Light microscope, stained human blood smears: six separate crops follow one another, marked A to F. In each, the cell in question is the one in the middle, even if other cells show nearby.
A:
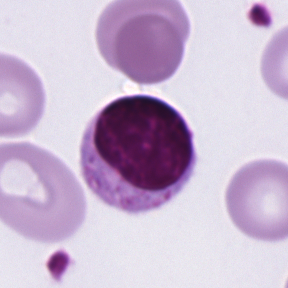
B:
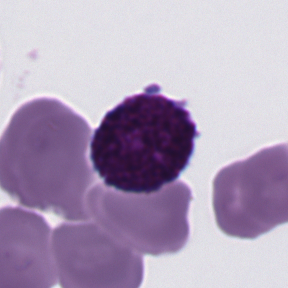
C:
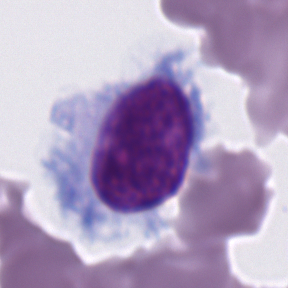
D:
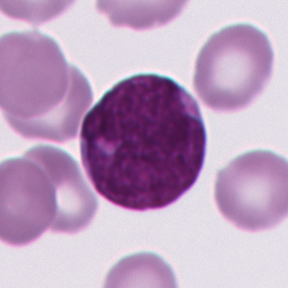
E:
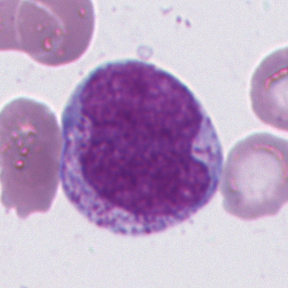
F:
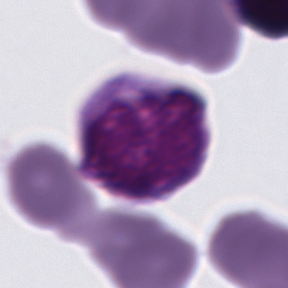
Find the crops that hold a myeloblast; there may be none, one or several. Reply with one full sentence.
Crops B, D and F feature myeloblasts as the cells at their centres.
